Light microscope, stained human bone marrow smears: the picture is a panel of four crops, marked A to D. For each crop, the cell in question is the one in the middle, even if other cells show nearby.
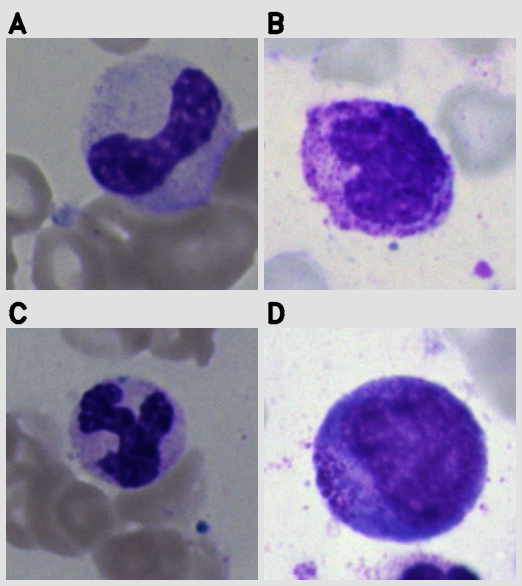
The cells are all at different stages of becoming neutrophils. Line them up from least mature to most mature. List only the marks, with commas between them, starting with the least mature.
D, B, A, C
